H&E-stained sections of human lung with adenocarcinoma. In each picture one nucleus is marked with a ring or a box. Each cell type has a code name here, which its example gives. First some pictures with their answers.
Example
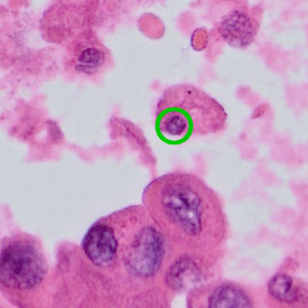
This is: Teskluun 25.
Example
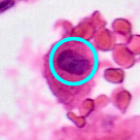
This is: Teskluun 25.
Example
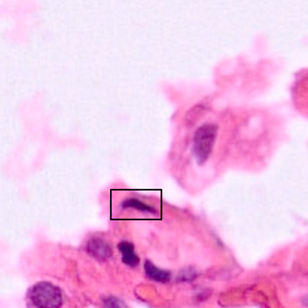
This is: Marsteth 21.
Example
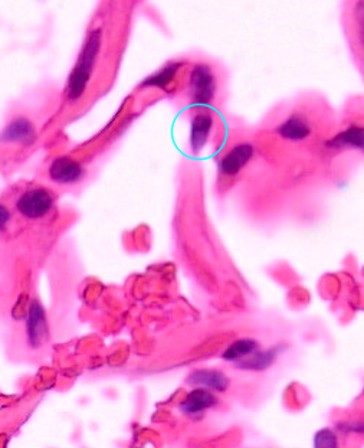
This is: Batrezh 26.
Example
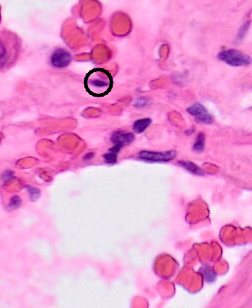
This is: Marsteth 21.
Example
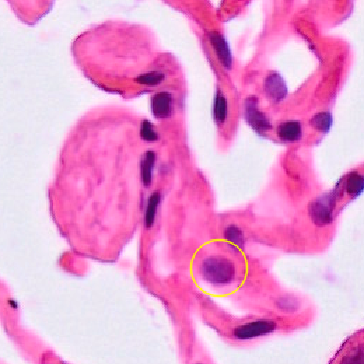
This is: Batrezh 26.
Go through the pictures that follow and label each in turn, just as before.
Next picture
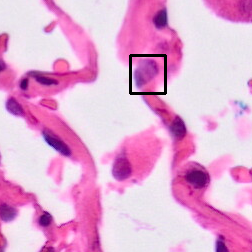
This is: Batrezh 26.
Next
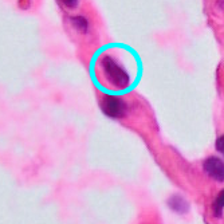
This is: Batrezh 26.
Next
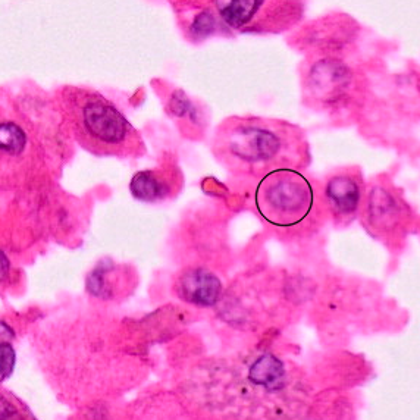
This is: Teskluun 25.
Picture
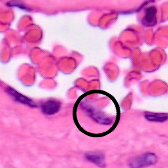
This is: Marsteth 21.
